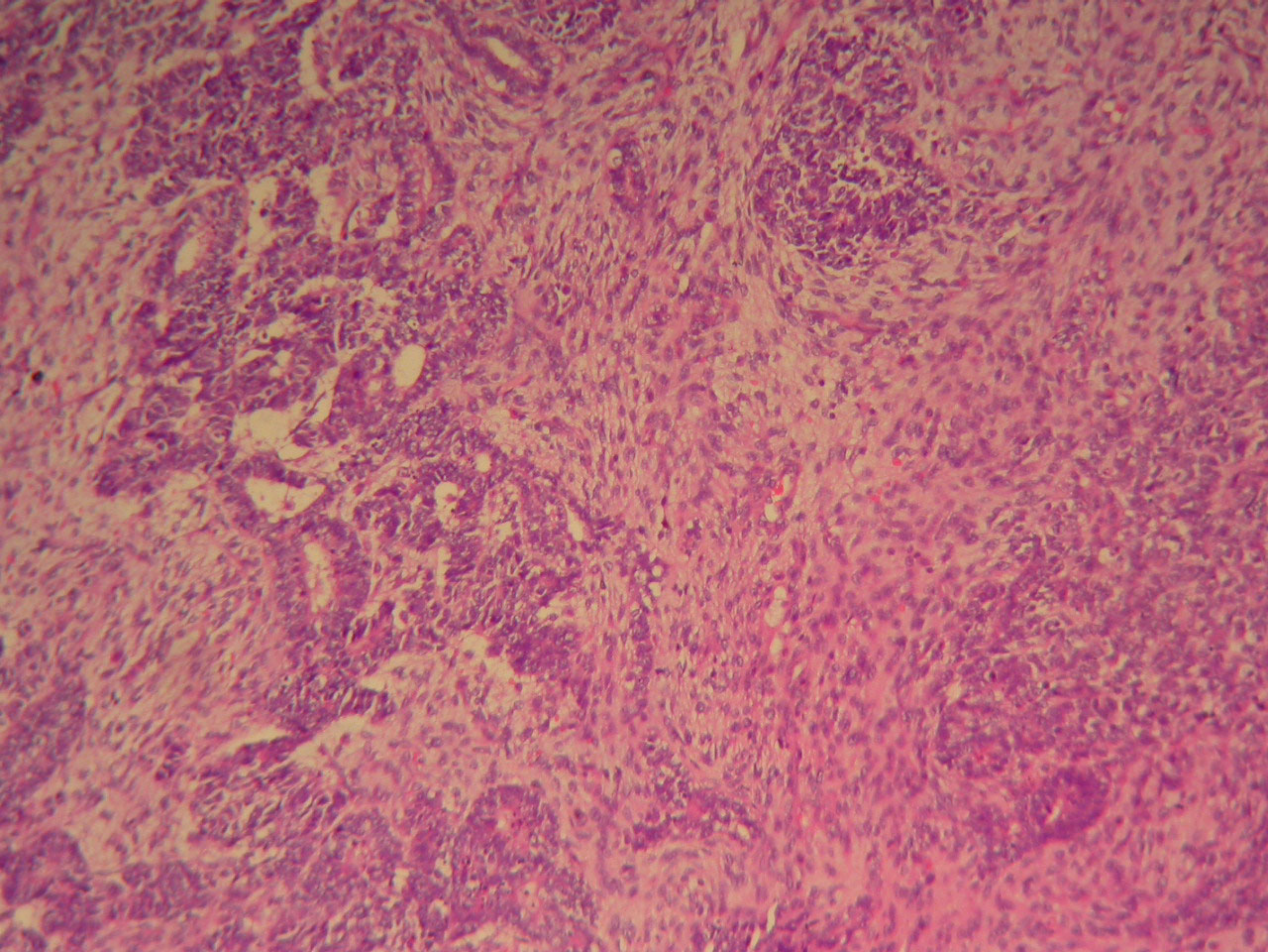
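This tumor is made of two clearly different cell populations. On the left, densely packed cells with crowded, dark purple nuclei form gland-like and nested formations, many arranged around small empty lumina. Similar compact dark nests appear at the top and on the right. Between these epithelial areas lies a paler pink component of elongated spindle cells. These cells have oval to spindle nuclei and lie in interlacing streams and loose fascicles. The contrast between the dark glandular nests and the lighter spindle-cell tissue gives the section a two-part, biphasic look.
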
